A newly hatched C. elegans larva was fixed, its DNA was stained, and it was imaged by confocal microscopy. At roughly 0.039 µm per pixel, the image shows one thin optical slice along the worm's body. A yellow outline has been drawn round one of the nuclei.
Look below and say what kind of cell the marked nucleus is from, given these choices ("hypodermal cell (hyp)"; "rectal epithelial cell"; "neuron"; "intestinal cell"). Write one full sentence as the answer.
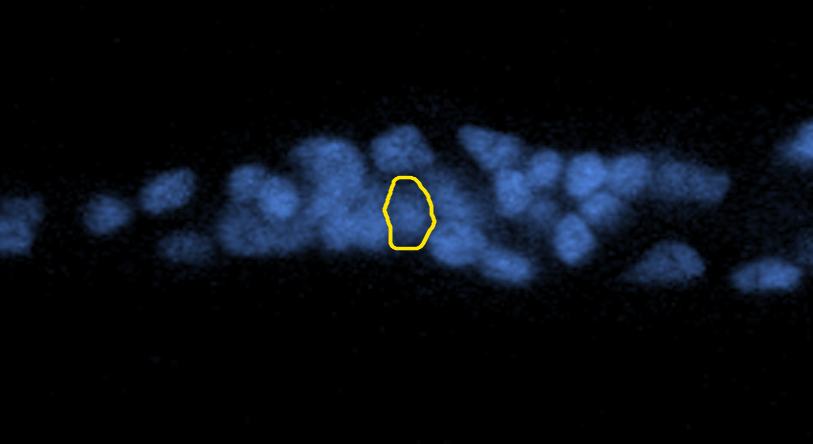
The cell with the marked nucleus is a neuron.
